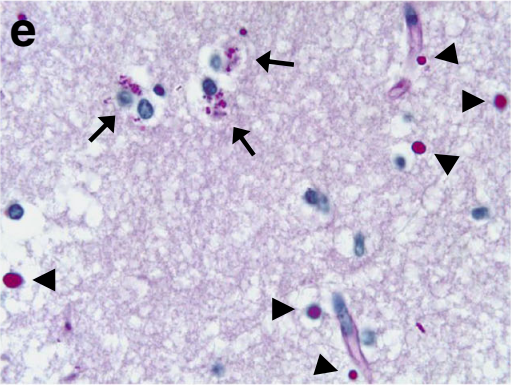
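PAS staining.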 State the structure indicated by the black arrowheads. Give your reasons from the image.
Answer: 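Corpora amylacea. Small round homogeneous deep magenta bodies. They lie scattered in the neuropil, several beside vessels.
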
